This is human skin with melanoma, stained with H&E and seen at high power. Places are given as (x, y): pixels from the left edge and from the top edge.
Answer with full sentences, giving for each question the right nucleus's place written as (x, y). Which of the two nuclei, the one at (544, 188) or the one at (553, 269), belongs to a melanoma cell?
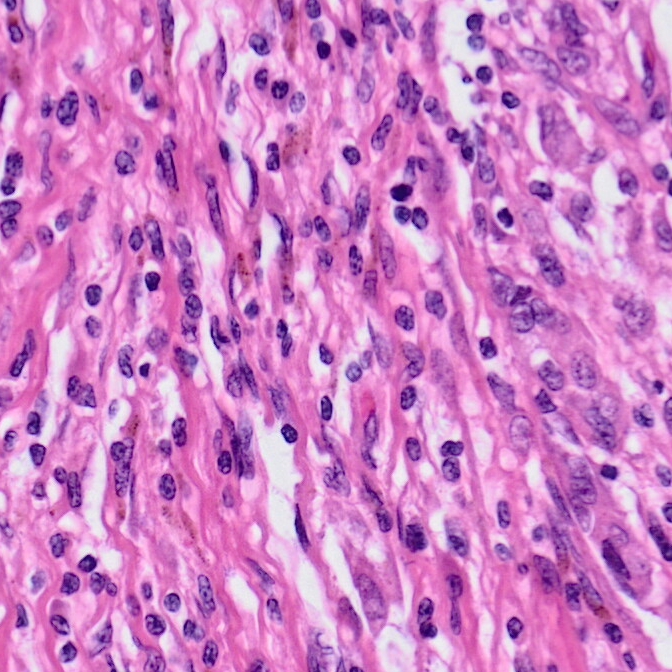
The cell to which the nucleus at (553, 269) belongs is a melanoma cell.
